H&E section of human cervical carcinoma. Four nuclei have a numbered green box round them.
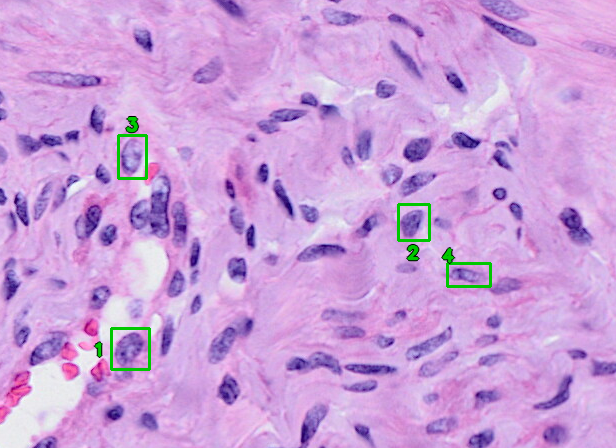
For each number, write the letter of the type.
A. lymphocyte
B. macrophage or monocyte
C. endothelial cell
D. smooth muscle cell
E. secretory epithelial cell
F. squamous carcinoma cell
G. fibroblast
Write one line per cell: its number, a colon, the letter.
1: C
2: G
3: C
4: D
